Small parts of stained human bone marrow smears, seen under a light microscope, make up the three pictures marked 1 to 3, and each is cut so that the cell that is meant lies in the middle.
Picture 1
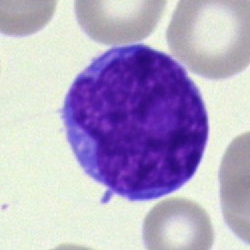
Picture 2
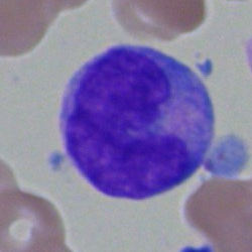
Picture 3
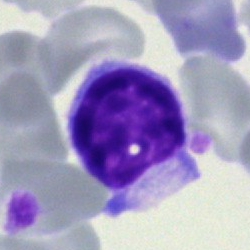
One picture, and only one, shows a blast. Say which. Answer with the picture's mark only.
1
